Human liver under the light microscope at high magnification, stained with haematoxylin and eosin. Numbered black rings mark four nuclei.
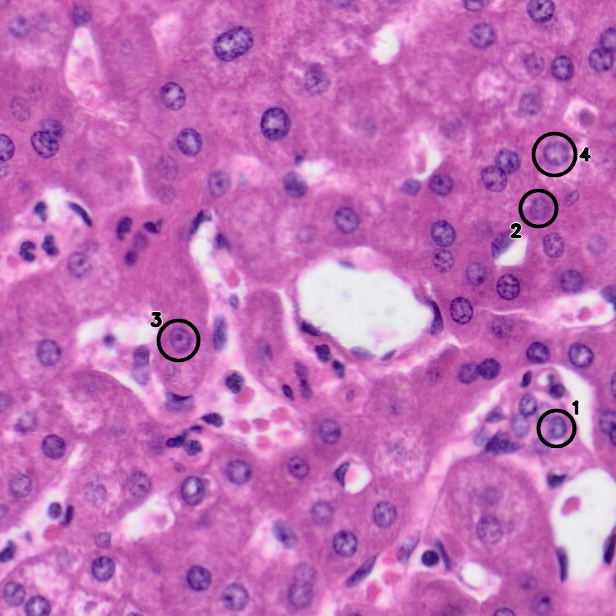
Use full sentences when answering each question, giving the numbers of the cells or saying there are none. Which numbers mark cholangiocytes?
Only the cell numbered 1 is a cholangiocyte; none of the others is.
